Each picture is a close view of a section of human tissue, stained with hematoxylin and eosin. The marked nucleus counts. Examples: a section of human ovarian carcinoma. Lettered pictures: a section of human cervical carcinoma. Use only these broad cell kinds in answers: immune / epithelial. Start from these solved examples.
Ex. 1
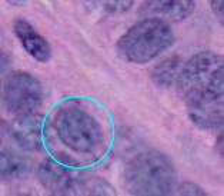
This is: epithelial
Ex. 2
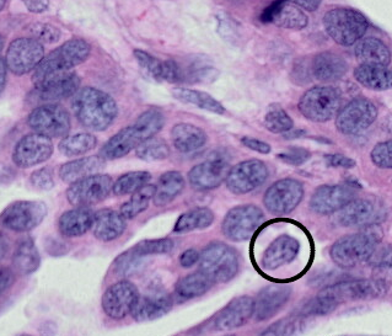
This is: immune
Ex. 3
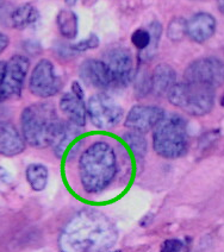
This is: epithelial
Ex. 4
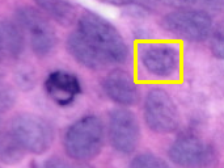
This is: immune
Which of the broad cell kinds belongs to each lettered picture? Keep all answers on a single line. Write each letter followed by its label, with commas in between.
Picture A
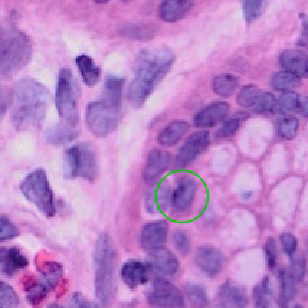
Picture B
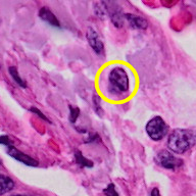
A epithelial, B immune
